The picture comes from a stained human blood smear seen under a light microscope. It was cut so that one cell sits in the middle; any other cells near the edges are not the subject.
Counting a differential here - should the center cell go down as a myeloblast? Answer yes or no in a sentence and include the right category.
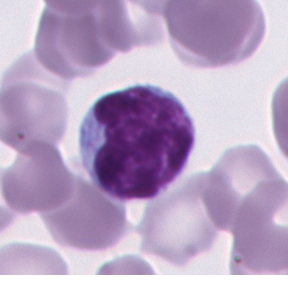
No, the cell in the centre is a typical lymphocyte instead of a myeloblast.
